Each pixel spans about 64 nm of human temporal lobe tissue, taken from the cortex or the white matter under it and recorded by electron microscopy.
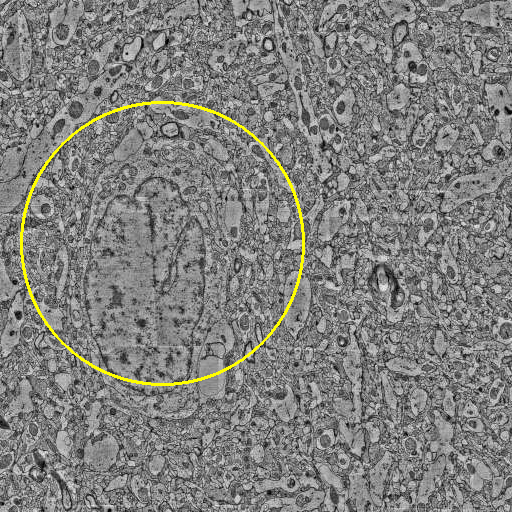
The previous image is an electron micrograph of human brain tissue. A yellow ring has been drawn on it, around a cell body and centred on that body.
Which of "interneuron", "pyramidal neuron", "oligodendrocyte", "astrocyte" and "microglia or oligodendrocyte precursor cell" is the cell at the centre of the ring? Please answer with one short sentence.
The cell body at the centre of the ring belongs to an interneuron.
